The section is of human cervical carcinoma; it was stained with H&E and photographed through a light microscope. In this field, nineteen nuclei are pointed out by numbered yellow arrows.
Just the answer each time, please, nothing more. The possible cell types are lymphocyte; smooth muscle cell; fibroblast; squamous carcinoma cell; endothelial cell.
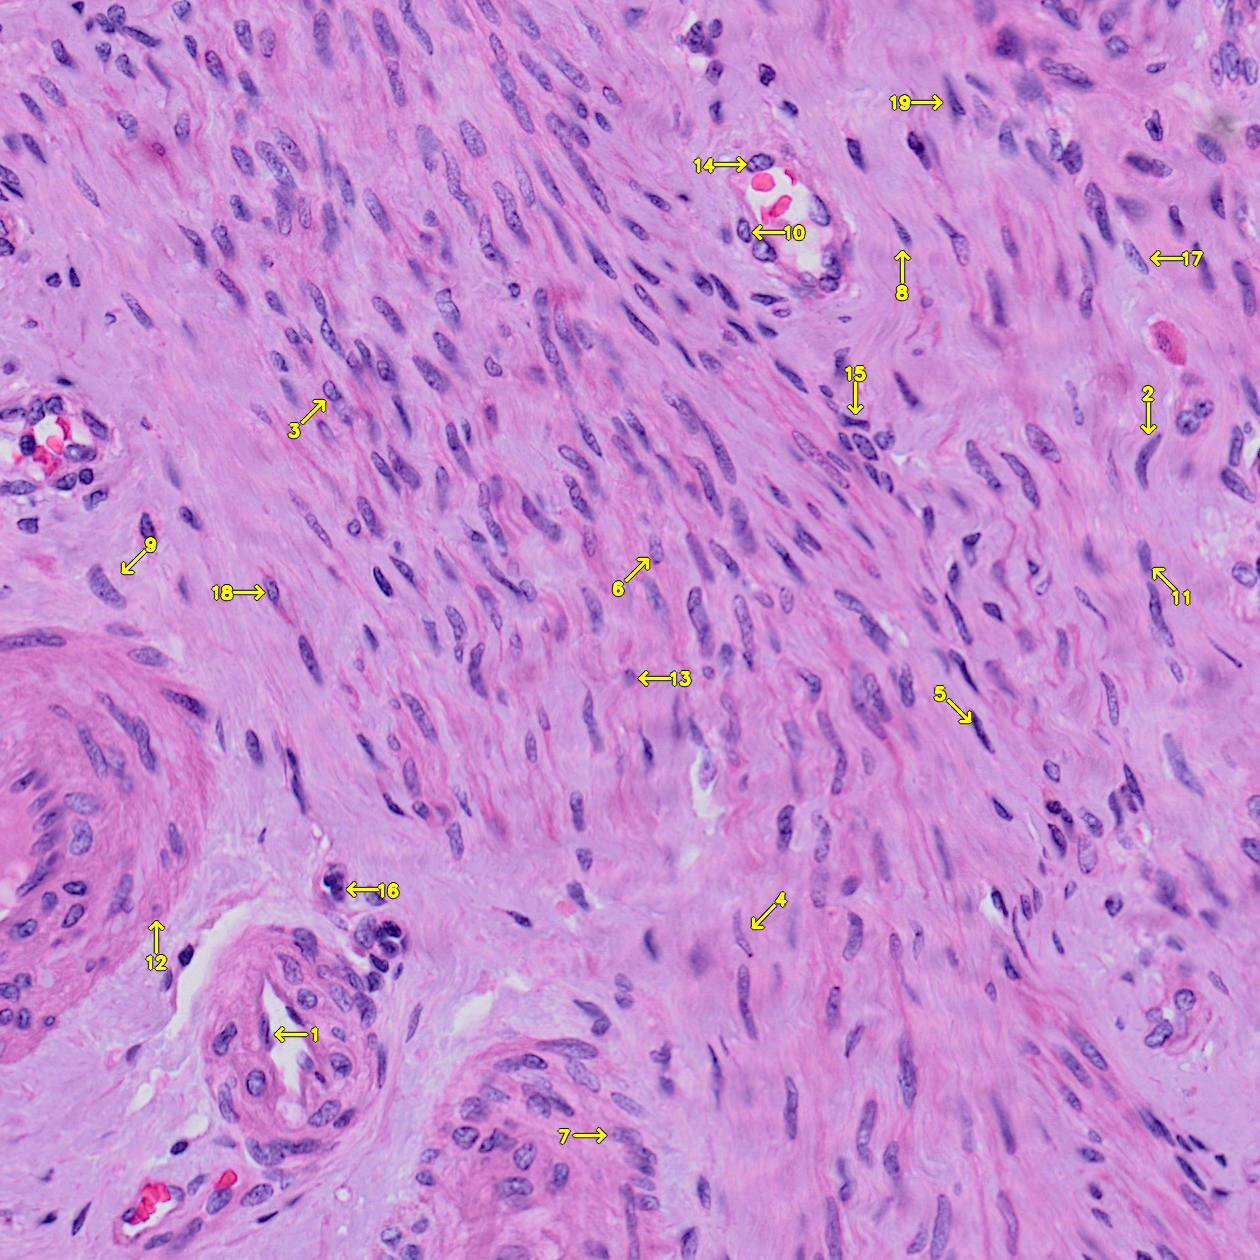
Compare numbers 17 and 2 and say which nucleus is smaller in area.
17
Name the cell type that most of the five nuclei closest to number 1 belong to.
smooth muscle cell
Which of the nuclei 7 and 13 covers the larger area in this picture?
7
